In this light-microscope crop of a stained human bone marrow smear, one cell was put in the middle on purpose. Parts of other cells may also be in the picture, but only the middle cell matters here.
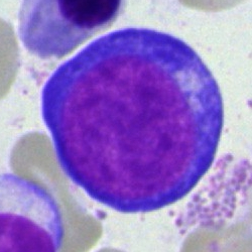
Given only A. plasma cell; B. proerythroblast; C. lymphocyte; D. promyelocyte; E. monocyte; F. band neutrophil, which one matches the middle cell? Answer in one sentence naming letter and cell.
The cell centered in the crop is a proerythroblast, making option B the correct pick.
